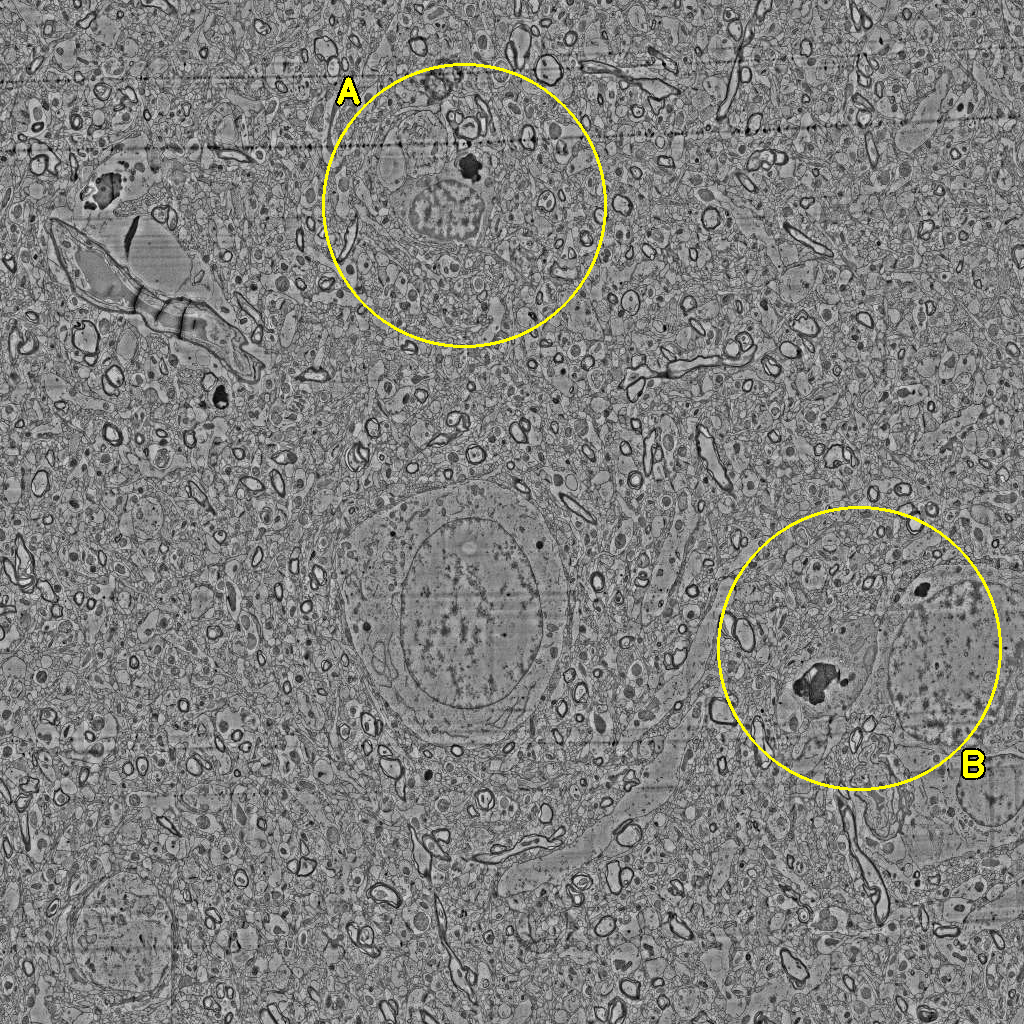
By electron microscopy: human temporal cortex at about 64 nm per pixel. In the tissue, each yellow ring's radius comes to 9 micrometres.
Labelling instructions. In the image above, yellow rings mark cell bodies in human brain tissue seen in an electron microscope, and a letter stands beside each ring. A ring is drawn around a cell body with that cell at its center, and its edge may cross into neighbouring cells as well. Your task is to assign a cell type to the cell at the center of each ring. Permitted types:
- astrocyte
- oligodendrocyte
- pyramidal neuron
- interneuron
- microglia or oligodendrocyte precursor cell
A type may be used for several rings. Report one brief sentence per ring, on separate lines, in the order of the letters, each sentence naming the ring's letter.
The cell at the center of ring A is an oligodendrocyte.
The cell at the center of ring B is an oligodendrocyte.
